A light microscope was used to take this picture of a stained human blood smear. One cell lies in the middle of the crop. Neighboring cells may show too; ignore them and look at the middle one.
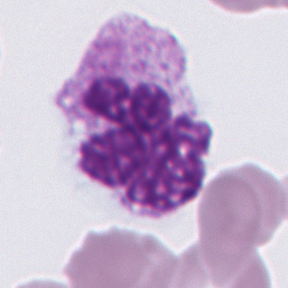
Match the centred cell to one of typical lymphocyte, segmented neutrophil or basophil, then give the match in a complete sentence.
In the middle of this smear crop, the cell is a segmented neutrophil.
